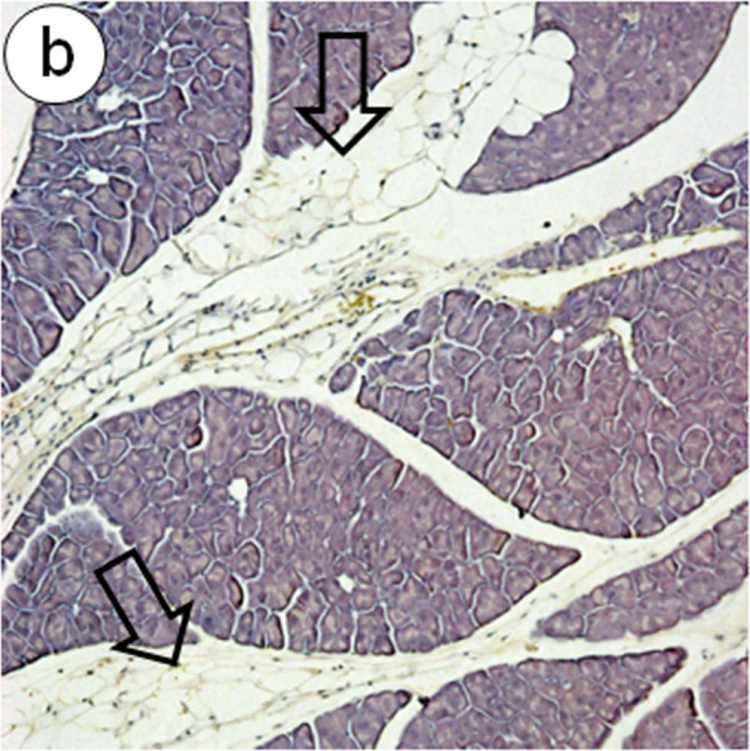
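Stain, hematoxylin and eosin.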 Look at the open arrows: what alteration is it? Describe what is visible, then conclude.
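Interlobular fat. The open arrows point to bands of large, empty, polygonal cells with thin walls. These bands lie between the purple-stained lobules.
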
